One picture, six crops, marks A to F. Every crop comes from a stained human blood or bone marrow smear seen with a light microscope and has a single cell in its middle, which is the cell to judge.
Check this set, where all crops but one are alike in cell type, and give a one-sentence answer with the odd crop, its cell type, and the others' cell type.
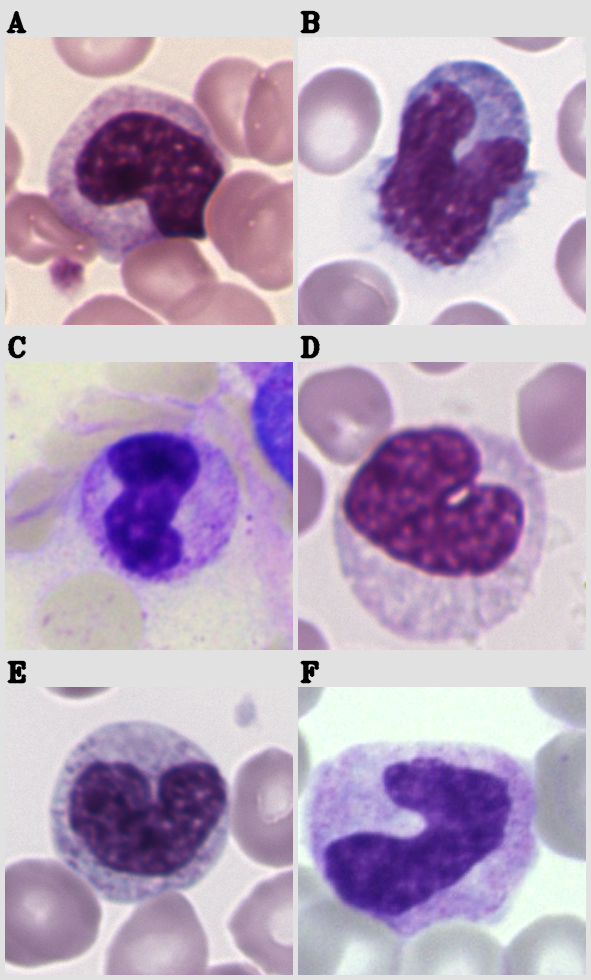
The odd one out is crop B, a monocyte, and all other crops show band neutrophils.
